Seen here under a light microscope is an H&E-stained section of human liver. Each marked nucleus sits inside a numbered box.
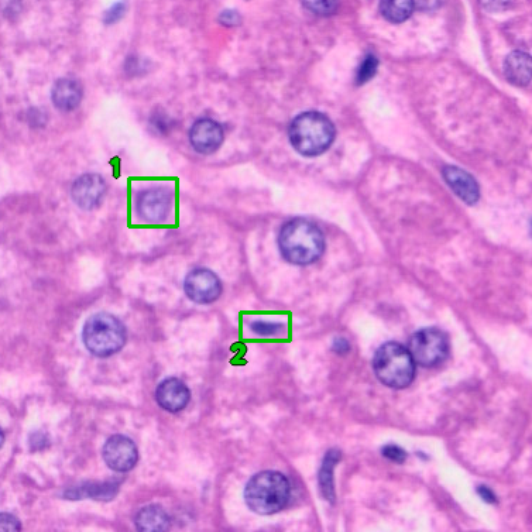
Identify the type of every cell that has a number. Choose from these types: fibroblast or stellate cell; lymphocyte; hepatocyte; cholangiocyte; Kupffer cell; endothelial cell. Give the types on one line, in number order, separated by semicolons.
hepatocyte; lymphocyte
